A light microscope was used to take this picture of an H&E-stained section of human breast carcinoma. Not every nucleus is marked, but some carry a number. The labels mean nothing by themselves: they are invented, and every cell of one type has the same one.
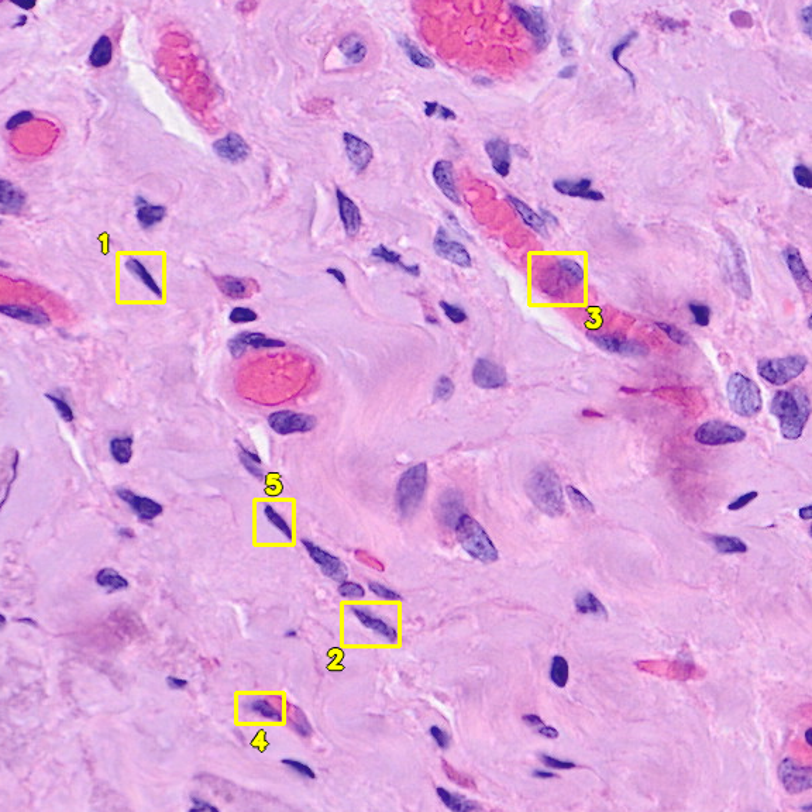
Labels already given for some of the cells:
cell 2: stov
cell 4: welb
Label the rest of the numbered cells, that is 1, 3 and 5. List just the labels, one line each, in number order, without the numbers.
stov
welb
stov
